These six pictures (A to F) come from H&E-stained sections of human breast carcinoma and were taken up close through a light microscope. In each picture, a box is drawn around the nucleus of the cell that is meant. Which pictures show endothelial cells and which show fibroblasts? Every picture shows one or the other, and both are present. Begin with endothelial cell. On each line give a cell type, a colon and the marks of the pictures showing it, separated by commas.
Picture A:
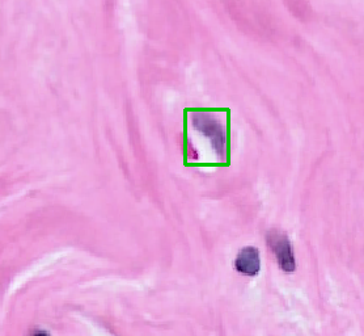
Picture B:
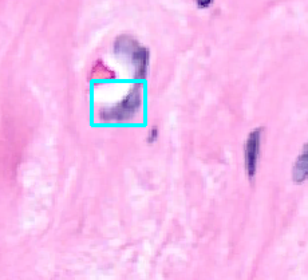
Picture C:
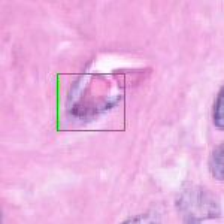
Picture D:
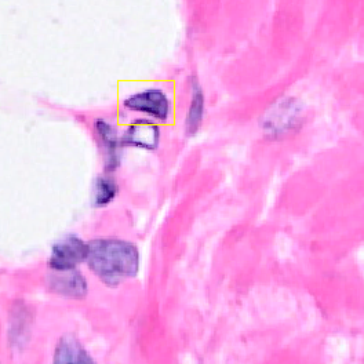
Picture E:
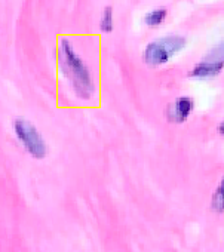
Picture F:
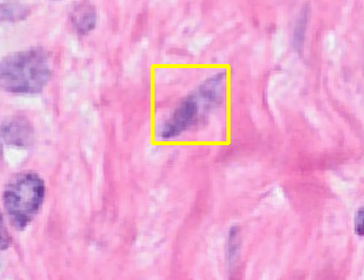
endothelial cell: A, B, C, D
fibroblast: E, F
